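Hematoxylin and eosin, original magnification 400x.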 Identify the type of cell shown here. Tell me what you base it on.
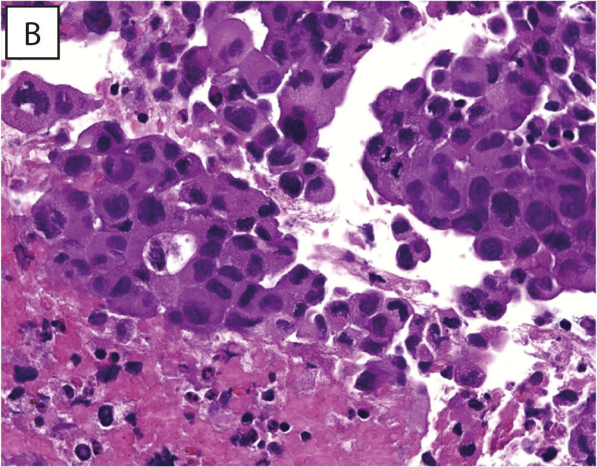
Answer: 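Neoplastic cells. Cohesive clusters of crowded, enlarged epithelial cells.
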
